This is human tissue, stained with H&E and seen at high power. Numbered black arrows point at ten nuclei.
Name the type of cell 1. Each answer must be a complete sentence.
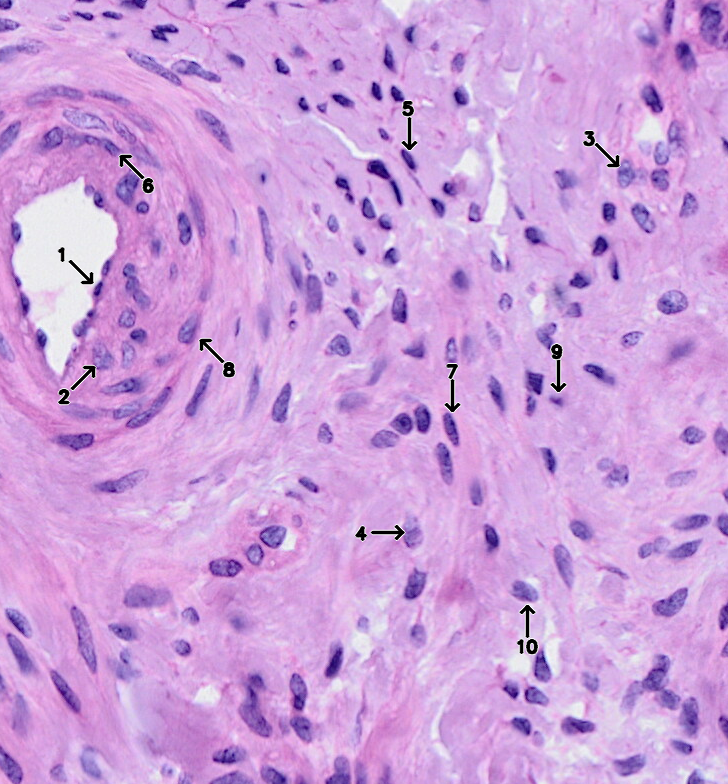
In the tissue shown, cell 1 is an endothelial cell.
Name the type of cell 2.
The cell bearing label 2 corresponds to a smooth muscle cell.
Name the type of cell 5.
The cell whose nucleus carries the number 5 is a fibroblast.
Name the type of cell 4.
The cell marked with the number 4 is a fibroblast.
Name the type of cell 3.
The cell indicated with the number 3 is classed as a smooth muscle cell.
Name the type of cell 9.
The nucleus with number 9 is that of a fibroblast.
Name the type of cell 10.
The cell that carries the label 10 is a fibroblast.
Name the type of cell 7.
Cell 7 is classified as a fibroblast.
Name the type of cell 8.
Classified as a smooth muscle cell is the cell with the number 8.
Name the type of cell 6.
Identified as a smooth muscle cell is the cell bearing the number 6.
